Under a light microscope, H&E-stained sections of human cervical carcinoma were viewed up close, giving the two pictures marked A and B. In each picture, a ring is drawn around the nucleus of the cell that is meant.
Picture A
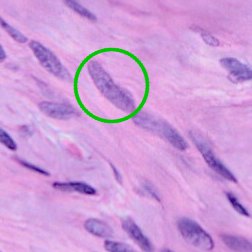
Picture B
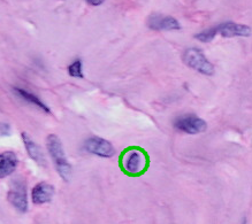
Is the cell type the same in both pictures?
yes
